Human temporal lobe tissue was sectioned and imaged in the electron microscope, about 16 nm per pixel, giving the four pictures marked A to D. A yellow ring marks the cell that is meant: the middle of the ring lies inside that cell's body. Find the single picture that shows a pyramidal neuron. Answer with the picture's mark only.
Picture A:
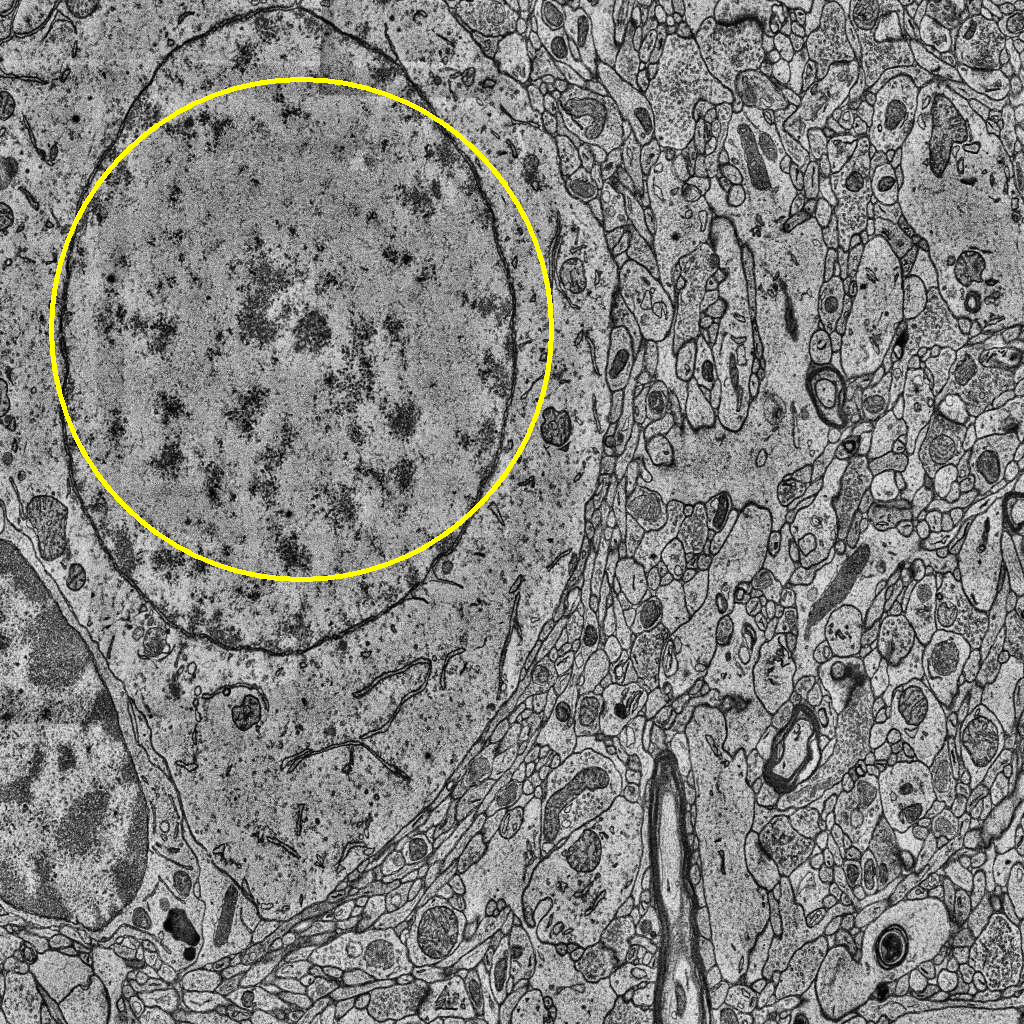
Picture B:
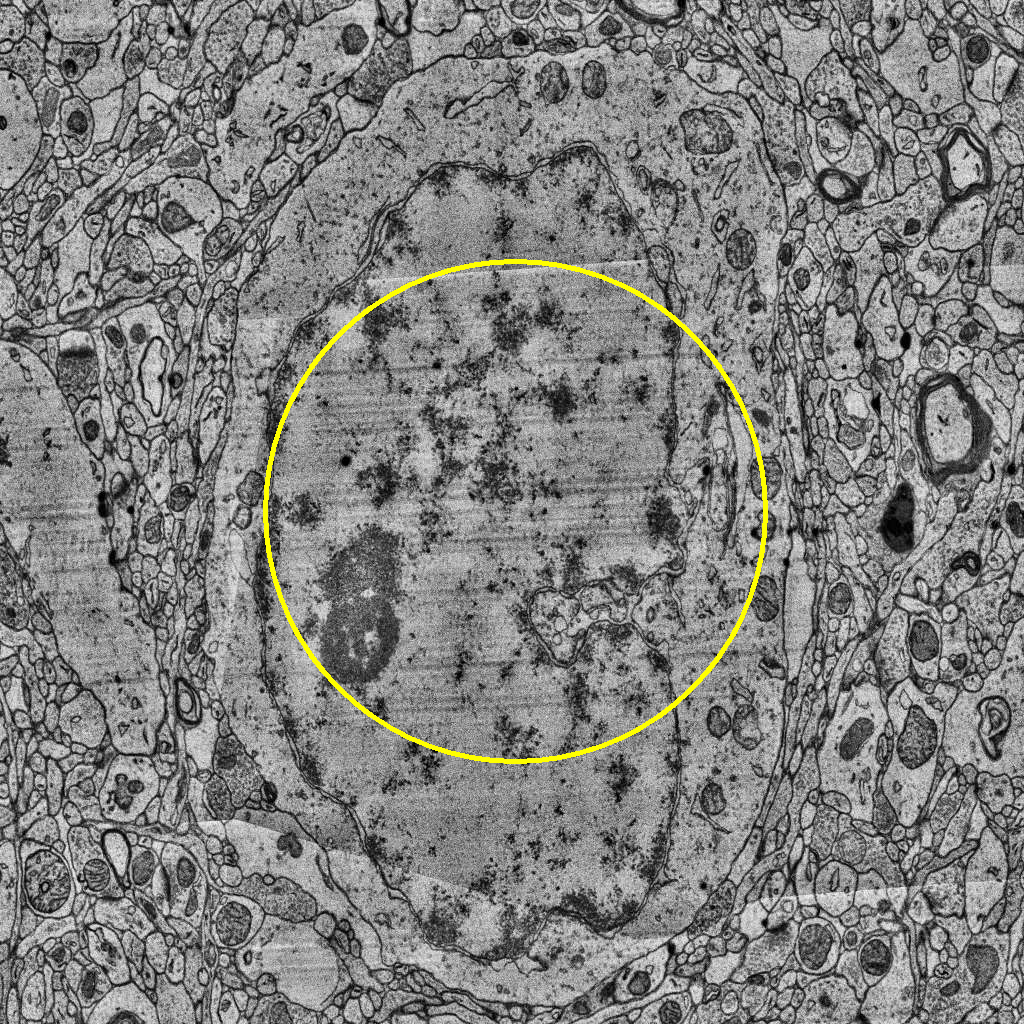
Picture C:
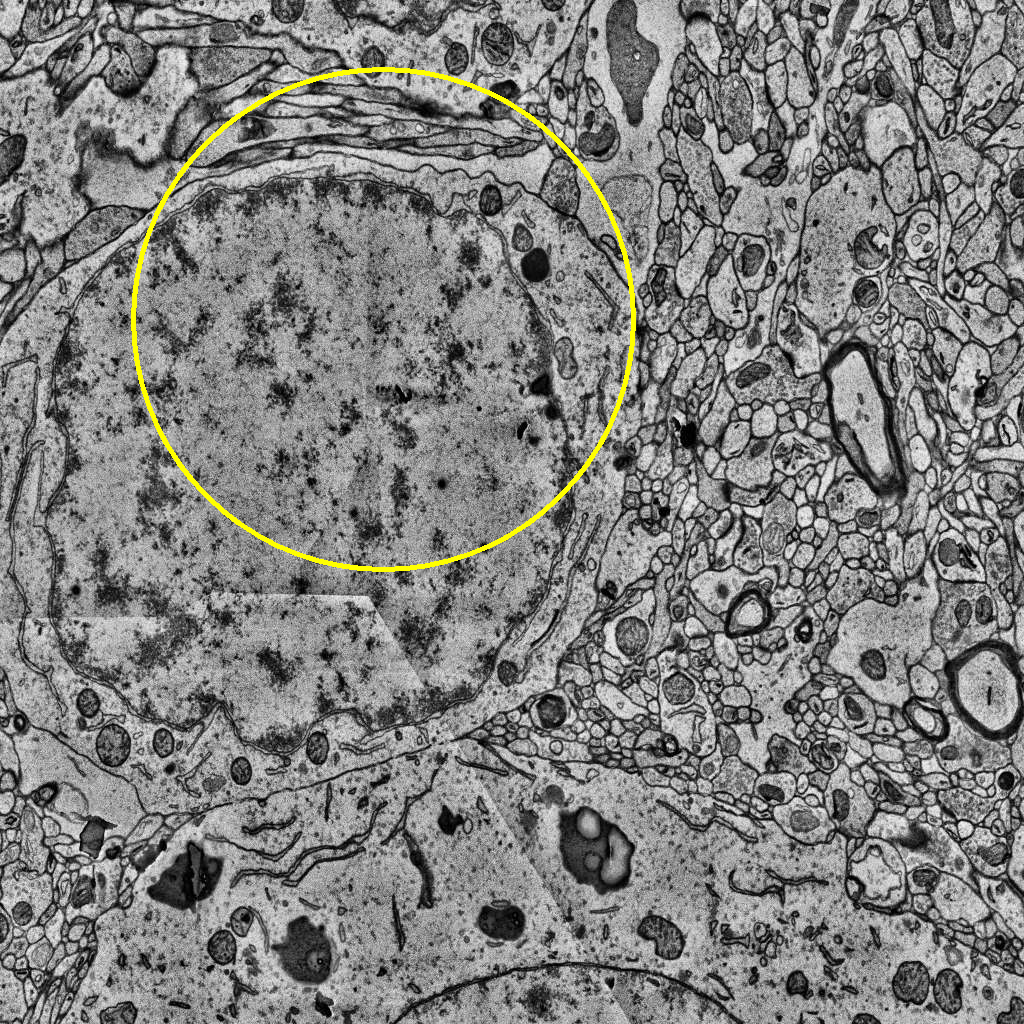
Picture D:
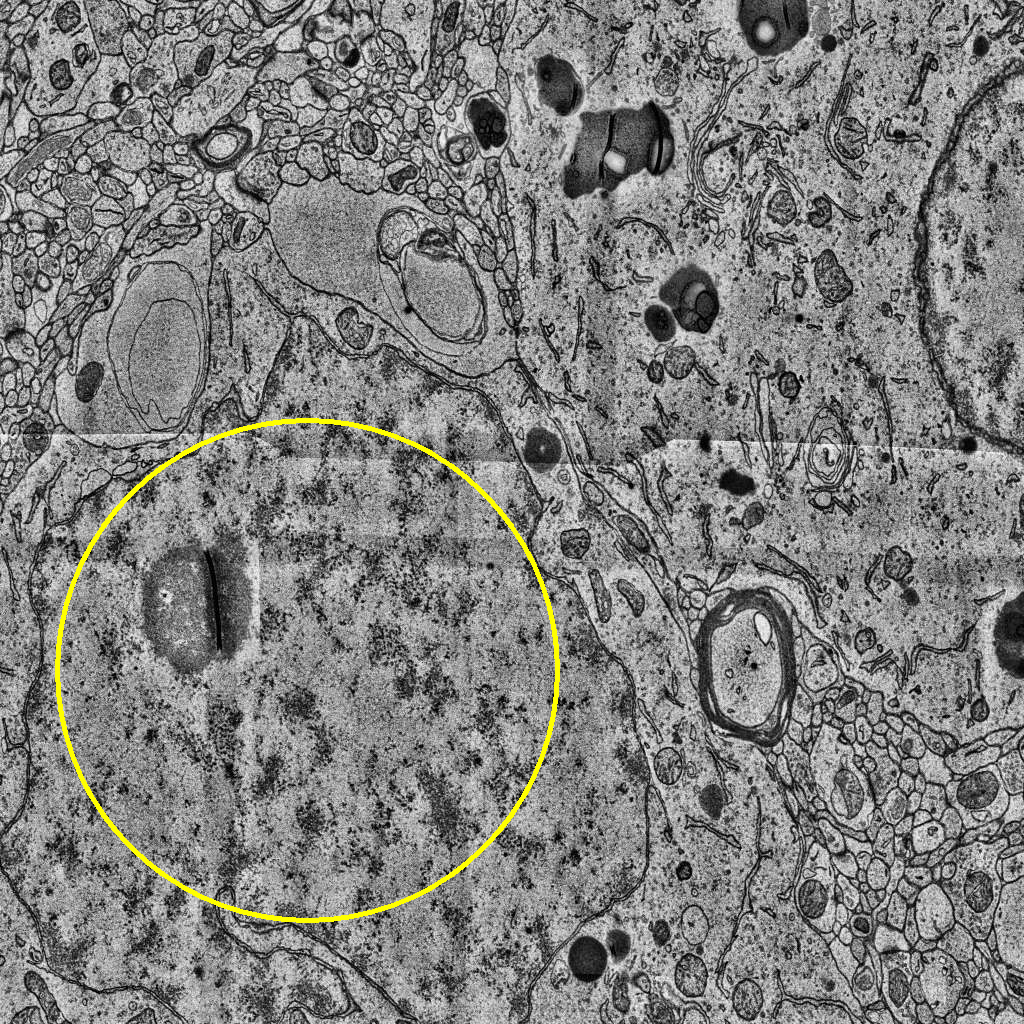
A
